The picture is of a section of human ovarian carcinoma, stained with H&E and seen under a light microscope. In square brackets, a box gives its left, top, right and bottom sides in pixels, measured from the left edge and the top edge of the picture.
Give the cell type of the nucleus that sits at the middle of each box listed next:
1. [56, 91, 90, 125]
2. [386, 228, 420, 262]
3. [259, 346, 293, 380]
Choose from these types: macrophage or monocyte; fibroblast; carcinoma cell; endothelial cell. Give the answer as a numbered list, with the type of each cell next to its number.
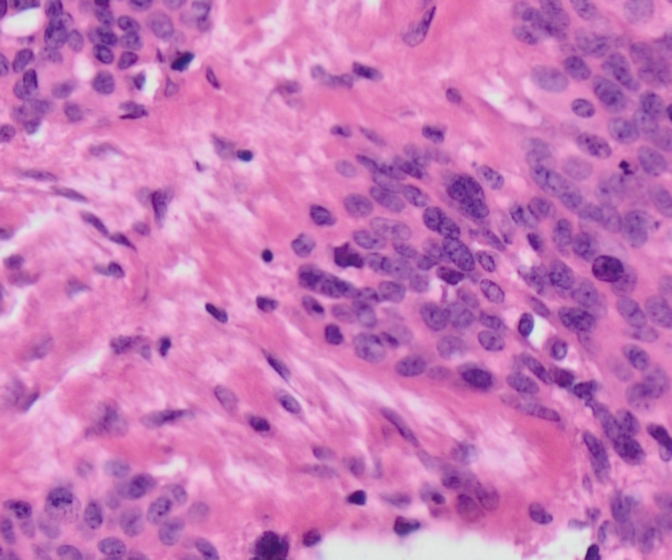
1. carcinoma cell
2. carcinoma cell
3. fibroblast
